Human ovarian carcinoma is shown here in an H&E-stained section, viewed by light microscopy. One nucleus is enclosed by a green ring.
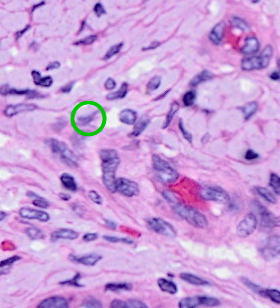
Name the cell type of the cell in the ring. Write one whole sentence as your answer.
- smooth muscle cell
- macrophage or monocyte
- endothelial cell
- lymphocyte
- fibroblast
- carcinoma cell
Recorded by type, the cell in the ring is a fibroblast.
